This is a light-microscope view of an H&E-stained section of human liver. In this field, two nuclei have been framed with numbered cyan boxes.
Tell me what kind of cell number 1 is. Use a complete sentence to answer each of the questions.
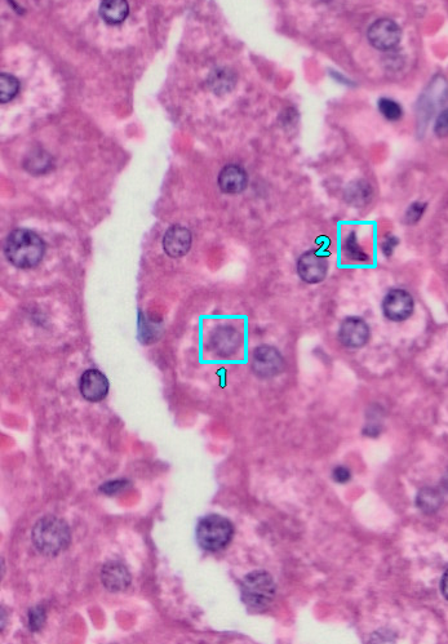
The numeral 1 marks a hepatocyte in this section.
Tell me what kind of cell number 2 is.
The cell pointed out by number 2 is an endothelial cell.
